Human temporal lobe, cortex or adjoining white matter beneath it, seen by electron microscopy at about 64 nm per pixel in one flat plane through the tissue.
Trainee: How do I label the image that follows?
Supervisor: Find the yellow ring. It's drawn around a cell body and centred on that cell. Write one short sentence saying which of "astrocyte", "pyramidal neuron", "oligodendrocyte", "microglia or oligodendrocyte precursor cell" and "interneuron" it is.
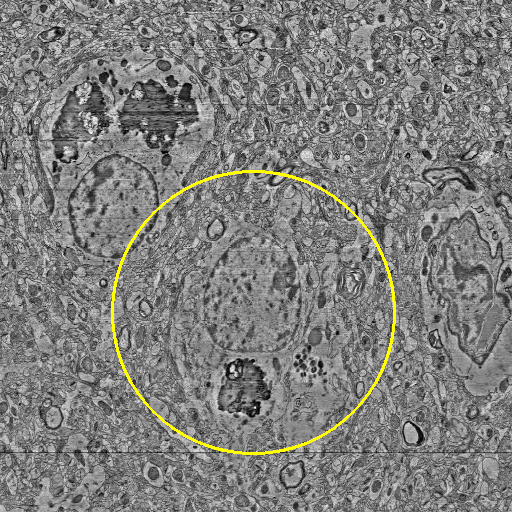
This is the cell body of an astrocyte.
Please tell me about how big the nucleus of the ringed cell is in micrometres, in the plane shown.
Approximately 8 by 6 micrometers in this plane.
